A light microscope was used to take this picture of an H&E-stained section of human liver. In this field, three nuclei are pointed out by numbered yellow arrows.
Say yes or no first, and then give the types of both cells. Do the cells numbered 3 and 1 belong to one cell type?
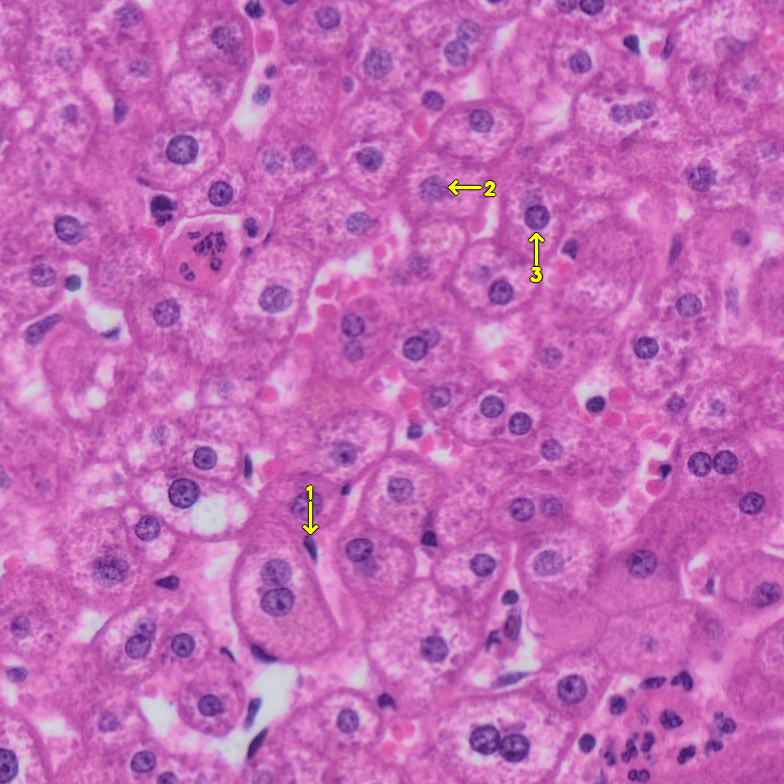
No, the right answer is a hepatocyte for cell 3 and an endothelial cell for cell 1.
